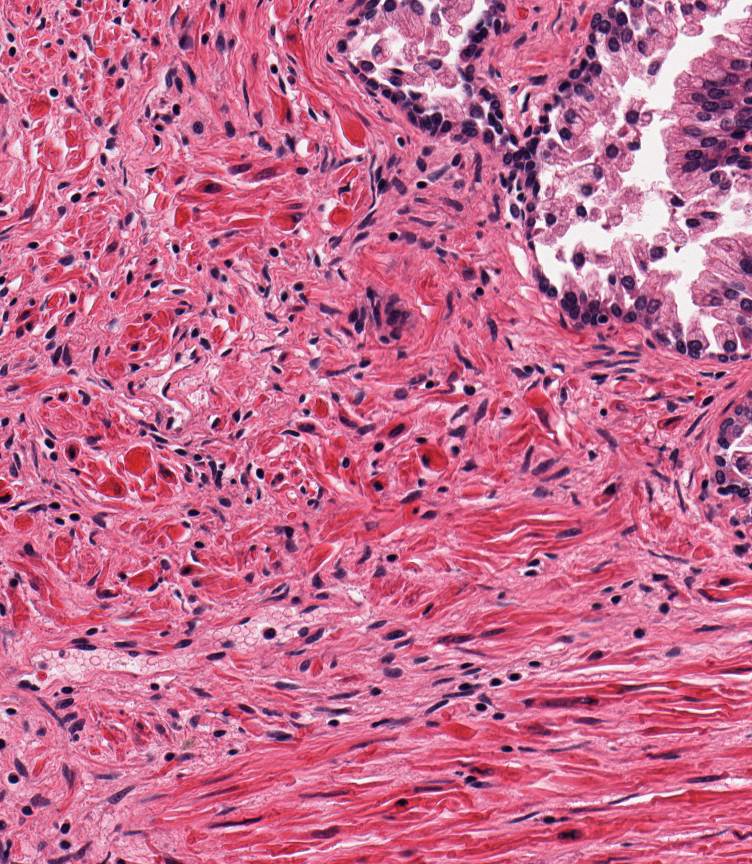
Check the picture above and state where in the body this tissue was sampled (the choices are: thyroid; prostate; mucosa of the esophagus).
prostate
